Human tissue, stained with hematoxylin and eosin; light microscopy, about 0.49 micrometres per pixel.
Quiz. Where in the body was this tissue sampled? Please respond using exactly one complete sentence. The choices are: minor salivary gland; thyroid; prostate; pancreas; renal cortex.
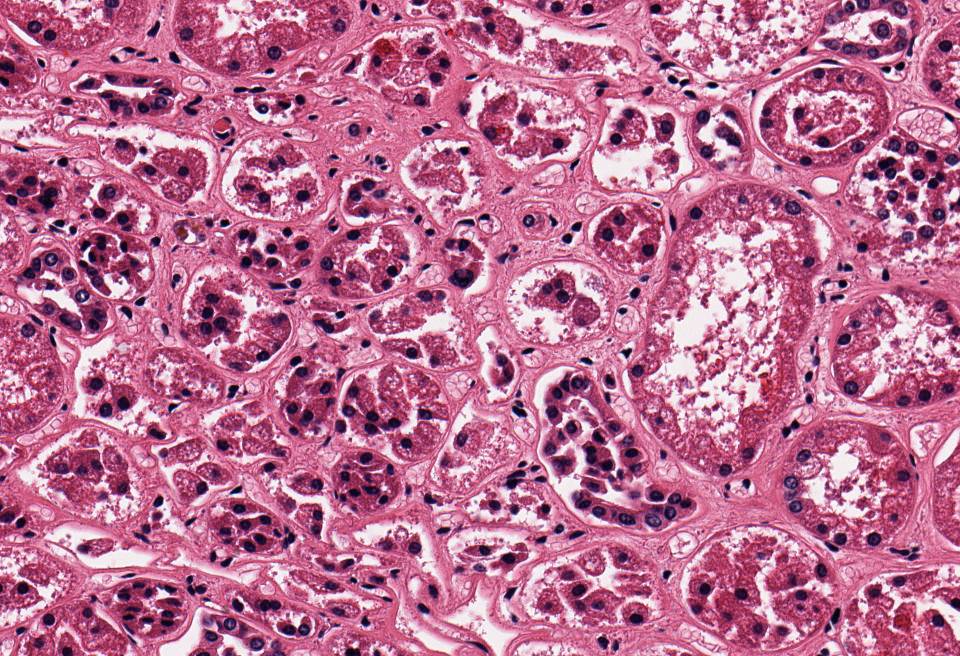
This specimen was obtained from the renal cortex.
